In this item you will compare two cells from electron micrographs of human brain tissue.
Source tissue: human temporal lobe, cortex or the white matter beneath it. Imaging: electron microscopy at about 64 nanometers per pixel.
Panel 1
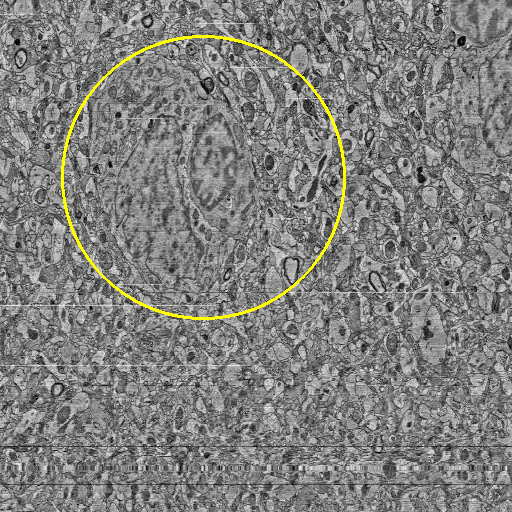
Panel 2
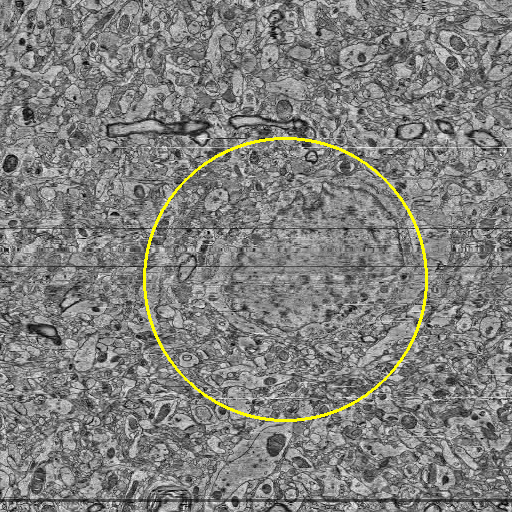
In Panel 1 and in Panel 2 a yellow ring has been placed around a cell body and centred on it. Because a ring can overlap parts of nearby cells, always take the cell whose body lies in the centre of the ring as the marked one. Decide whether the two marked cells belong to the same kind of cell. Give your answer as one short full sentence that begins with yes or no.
No, the two marked cells belong to two kinds of cell.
